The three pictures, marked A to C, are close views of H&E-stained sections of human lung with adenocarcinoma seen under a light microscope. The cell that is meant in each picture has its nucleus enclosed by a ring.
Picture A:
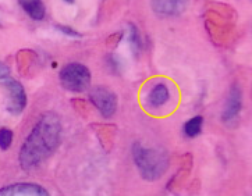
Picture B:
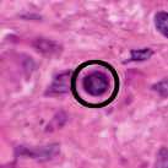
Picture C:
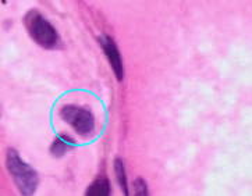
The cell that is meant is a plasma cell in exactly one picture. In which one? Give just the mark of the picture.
B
